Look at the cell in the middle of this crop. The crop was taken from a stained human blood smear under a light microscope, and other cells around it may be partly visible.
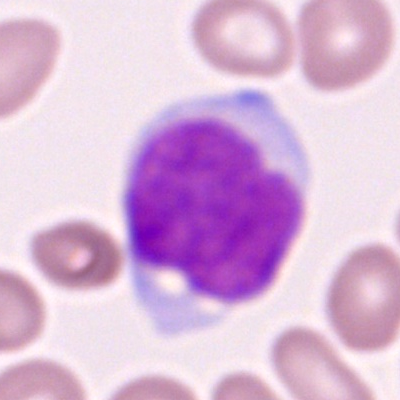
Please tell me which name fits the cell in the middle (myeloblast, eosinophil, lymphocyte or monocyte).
monocyte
